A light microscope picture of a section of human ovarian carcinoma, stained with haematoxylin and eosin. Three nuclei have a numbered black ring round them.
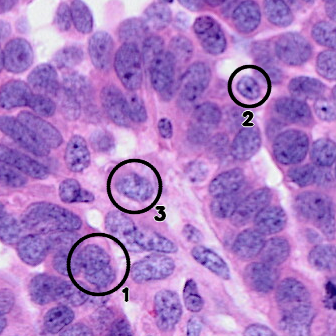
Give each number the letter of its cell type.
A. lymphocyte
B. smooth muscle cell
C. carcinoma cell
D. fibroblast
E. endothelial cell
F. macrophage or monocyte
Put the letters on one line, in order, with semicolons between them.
C; F; D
